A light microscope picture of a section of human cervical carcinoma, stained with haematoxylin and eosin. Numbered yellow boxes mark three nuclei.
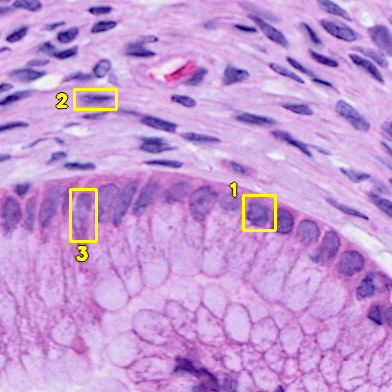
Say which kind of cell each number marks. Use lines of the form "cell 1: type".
cell 1: secretory epithelial cell
cell 2: fibroblast
cell 3: secretory epithelial cell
